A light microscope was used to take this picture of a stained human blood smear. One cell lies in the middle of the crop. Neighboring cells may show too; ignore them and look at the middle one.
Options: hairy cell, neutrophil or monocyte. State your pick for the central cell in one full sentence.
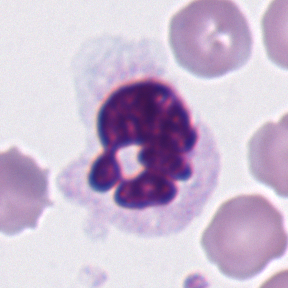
Here the centrally located cell is a neutrophil.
